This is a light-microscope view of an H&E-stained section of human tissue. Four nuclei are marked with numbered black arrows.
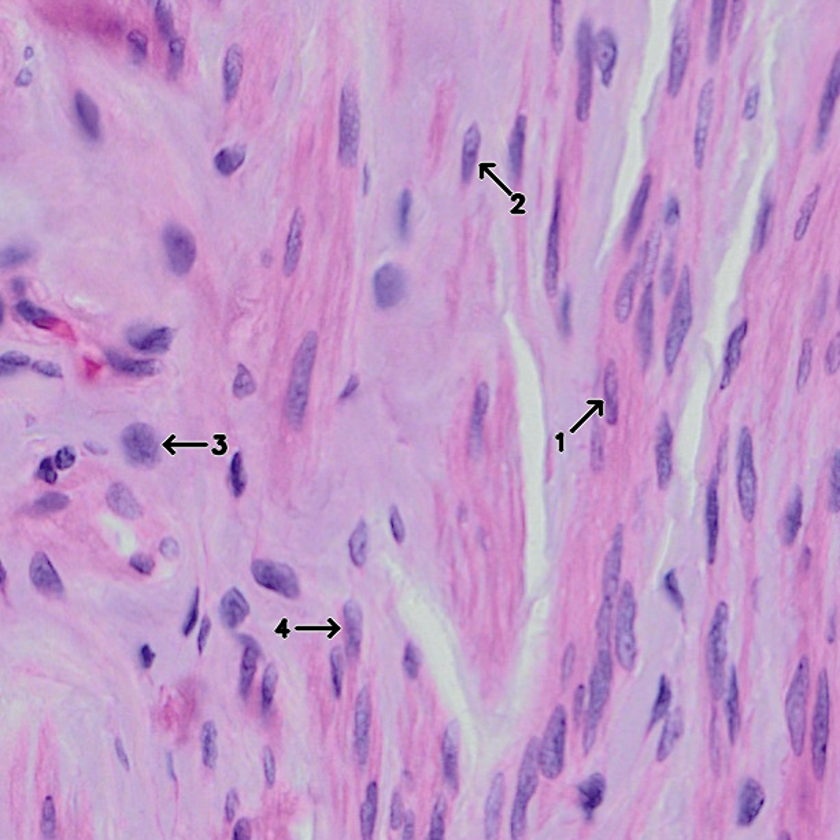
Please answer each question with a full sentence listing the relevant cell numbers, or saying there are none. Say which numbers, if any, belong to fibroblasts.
The nucleus labelled 3 alone belongs to a fibroblast; the other marked nuclei do not.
